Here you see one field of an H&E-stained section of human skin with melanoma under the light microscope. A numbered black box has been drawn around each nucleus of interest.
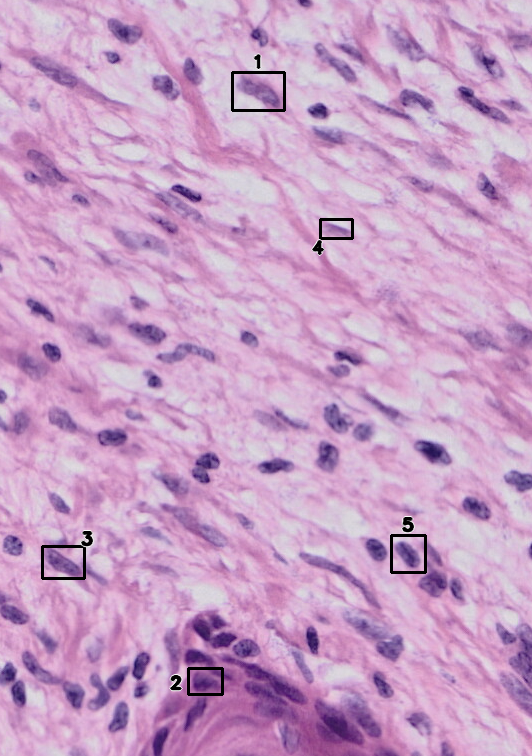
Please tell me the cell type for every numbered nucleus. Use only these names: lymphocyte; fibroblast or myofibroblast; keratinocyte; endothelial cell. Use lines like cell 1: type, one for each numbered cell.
cell 1: fibroblast or myofibroblast
cell 2: keratinocyte
cell 3: fibroblast or myofibroblast
cell 4: fibroblast or myofibroblast
cell 5: lymphocyte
